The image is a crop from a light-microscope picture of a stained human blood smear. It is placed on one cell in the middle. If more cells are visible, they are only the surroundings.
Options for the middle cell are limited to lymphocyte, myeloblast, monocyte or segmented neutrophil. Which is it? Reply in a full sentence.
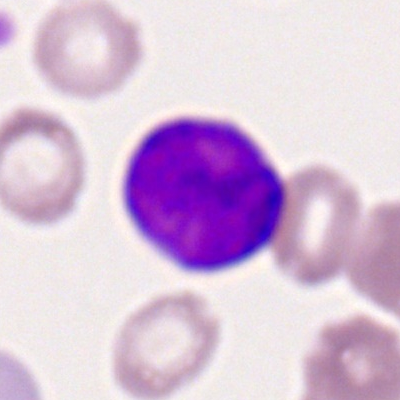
The cell of interest, in the center, is a myeloblast.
